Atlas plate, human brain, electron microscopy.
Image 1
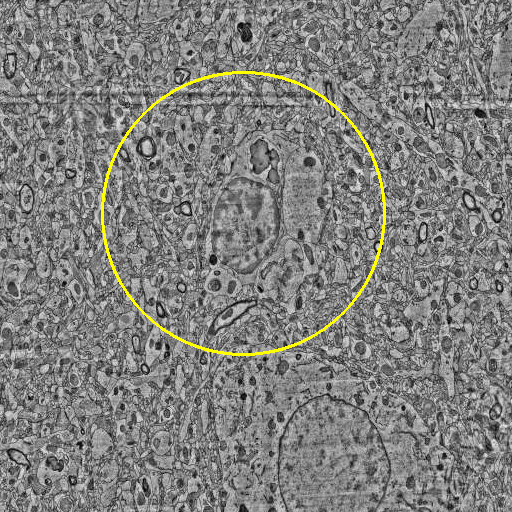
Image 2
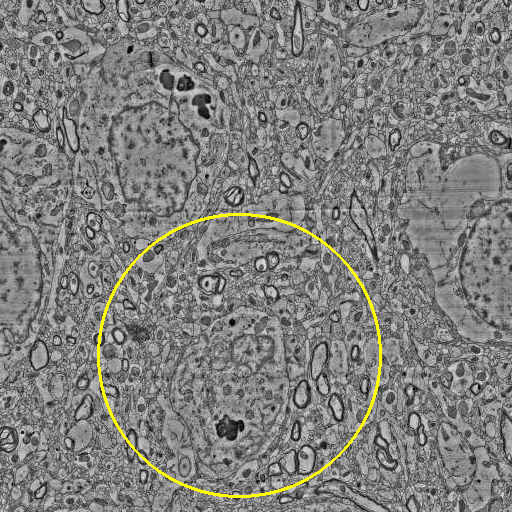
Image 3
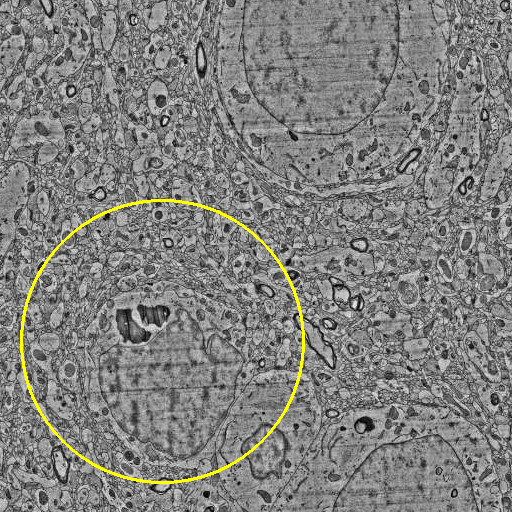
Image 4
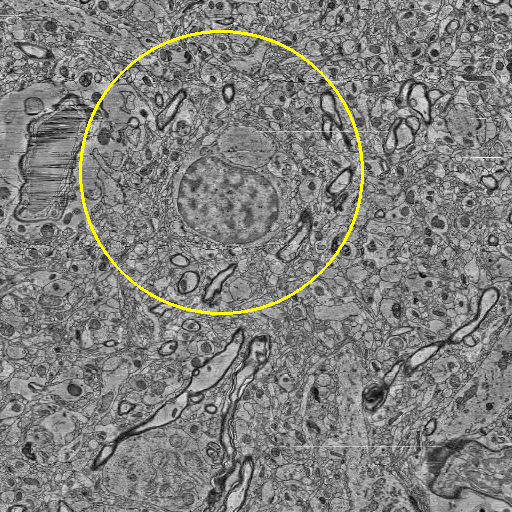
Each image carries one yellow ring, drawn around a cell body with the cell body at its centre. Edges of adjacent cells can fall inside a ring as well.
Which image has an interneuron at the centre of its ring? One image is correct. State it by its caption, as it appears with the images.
Image 3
